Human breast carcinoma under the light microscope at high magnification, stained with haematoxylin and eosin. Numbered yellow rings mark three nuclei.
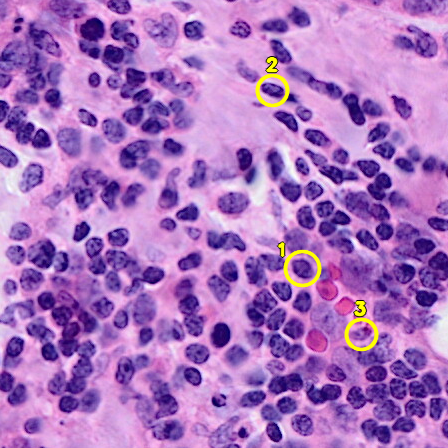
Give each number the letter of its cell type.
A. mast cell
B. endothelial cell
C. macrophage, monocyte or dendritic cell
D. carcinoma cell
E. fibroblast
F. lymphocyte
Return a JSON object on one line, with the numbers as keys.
{"1": "F", "2": "F", "3": "B"}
